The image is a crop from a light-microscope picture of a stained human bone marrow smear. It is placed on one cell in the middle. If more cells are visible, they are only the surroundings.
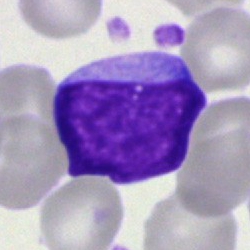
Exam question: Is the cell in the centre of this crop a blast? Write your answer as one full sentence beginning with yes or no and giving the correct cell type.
Yes, the centred cell is categorised as a blast.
